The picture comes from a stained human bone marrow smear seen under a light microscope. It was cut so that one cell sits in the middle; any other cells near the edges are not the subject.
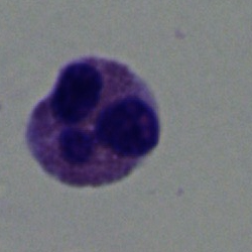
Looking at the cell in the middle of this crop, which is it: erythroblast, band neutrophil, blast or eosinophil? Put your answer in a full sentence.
At the crop's centre, the cell is an eosinophil.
